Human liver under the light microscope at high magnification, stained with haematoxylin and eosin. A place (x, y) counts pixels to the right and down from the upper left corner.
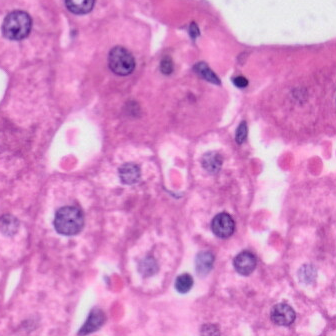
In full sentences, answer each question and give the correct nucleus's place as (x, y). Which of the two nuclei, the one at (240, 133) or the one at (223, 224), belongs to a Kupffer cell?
So, of the two, the nucleus at (240, 133) is the one belonging to a Kupffer cell.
